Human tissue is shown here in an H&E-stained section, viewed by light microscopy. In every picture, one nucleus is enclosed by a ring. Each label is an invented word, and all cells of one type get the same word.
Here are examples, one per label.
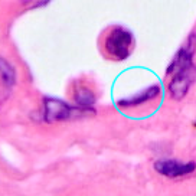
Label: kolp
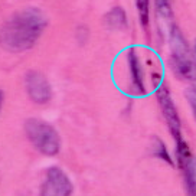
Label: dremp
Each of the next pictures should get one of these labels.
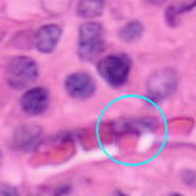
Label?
kolp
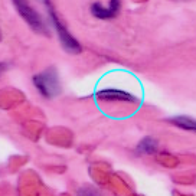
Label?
kolp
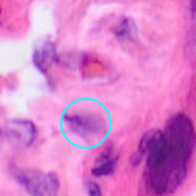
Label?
dremp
